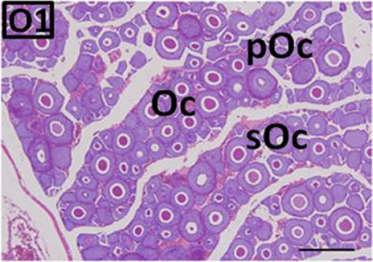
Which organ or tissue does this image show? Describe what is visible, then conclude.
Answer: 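Ovary. The section is packed with many round cells of different sizes, each with a central round nucleus. Larger cells have a pale clear zone around a central nucleus. The cells lie in bands separated by clefts of thin connective tissue.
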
